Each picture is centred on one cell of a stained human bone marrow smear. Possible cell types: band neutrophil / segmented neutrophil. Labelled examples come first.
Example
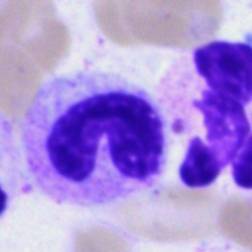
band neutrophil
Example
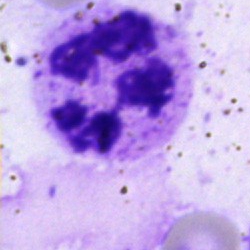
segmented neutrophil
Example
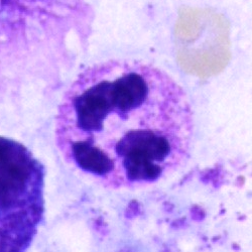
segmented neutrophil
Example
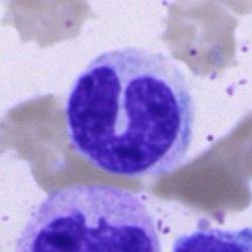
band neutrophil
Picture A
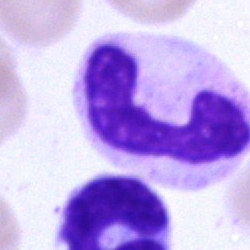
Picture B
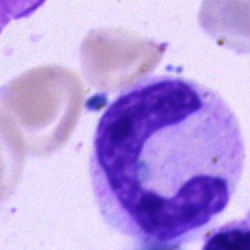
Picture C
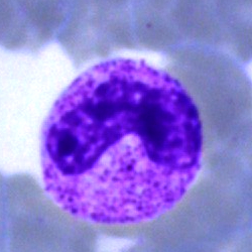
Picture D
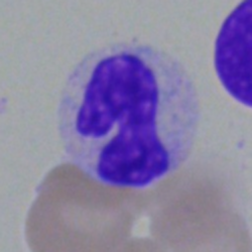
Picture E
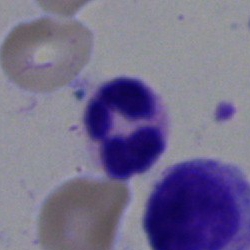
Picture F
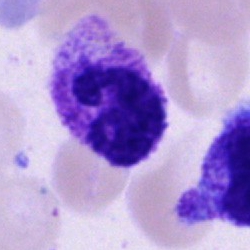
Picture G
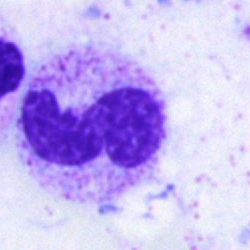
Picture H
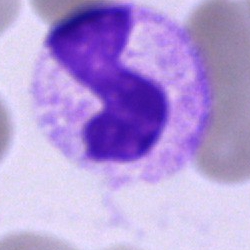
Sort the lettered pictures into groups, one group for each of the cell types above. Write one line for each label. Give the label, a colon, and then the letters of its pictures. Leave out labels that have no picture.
band neutrophil: A, B, C, D, G, H
segmented neutrophil: E, F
